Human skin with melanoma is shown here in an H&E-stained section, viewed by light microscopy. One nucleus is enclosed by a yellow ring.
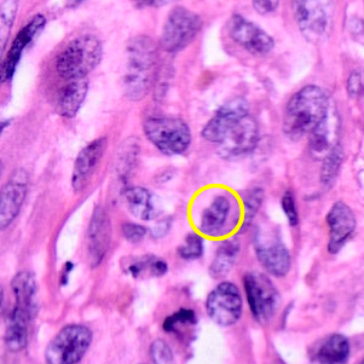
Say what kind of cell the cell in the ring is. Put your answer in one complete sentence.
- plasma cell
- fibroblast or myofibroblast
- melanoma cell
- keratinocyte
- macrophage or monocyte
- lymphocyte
The cell type represented by the cell in the ring is that of a melanoma cell.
